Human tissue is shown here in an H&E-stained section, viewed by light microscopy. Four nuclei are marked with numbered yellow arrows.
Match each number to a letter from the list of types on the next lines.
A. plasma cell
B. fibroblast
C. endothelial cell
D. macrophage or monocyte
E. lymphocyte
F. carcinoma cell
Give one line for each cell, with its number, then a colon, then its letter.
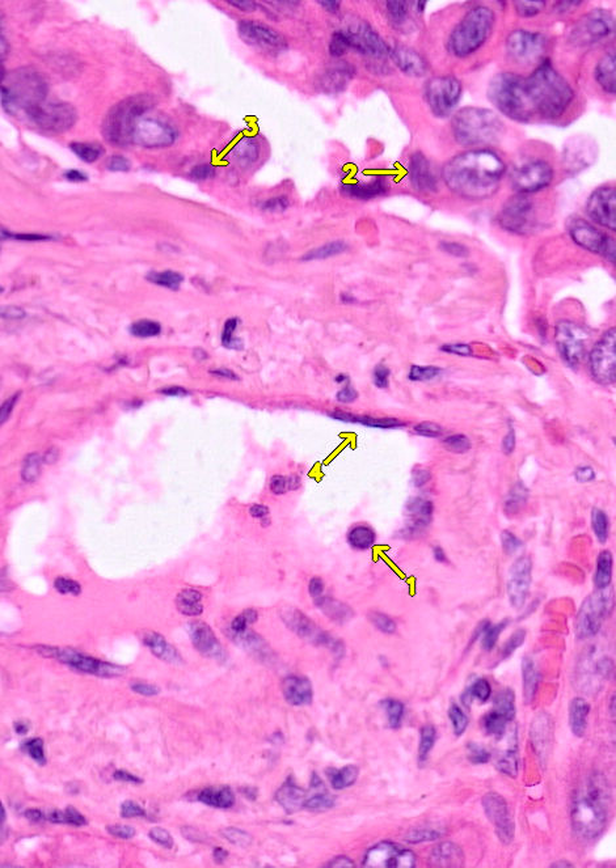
1: E
2: F
3: F
4: C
